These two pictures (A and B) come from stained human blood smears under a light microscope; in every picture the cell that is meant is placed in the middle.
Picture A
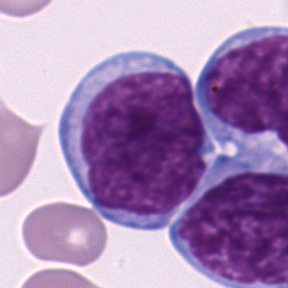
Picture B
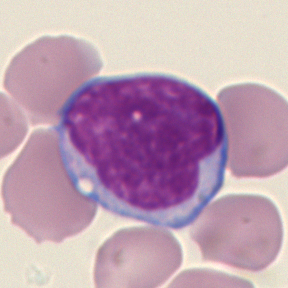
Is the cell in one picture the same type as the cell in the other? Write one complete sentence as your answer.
Yes, both are myeloblasts.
